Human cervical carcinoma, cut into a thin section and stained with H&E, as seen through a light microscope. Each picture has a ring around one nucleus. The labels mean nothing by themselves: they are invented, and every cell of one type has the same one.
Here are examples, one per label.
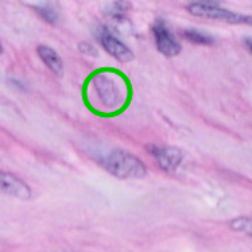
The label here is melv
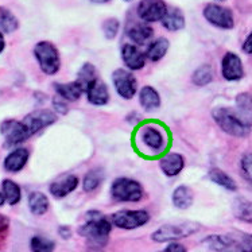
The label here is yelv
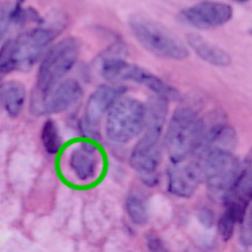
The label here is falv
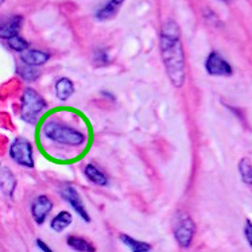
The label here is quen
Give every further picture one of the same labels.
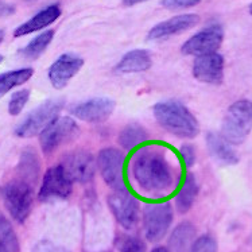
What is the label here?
falv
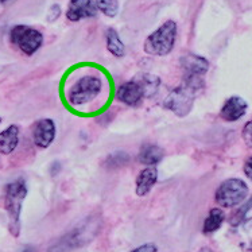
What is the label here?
yelv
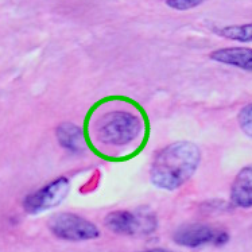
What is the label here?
quen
